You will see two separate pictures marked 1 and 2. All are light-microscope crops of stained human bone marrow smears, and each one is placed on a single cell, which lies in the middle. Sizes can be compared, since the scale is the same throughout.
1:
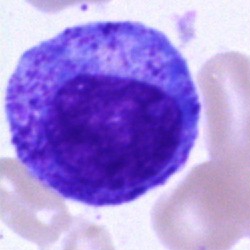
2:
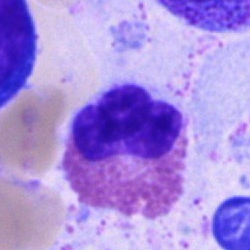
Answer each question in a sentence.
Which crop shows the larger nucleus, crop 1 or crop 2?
Crop 1 shows the larger nucleus; it covers about 2.5 times the area of the nucleus in crop 2.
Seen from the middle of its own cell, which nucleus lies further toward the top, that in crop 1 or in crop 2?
Seen within its cell, the nucleus in crop 2 lies further toward the top.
